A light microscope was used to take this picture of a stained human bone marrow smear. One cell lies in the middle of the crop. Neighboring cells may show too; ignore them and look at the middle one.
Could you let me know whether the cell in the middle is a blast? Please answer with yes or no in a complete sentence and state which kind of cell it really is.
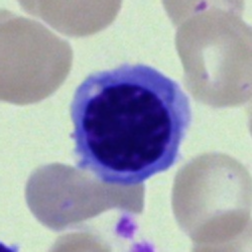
No, the cell at the centre of the crop is an erythroblast and not a blast.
